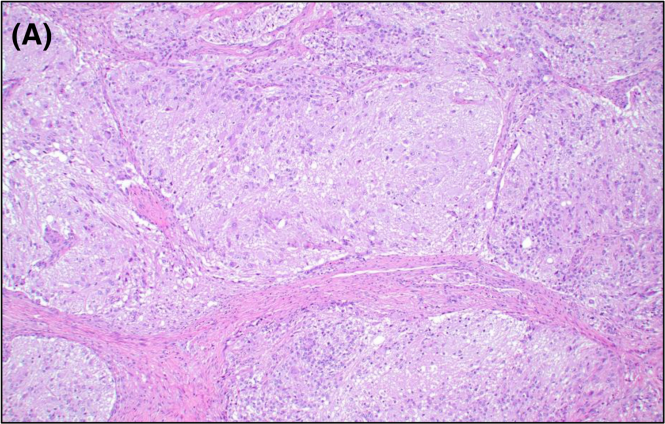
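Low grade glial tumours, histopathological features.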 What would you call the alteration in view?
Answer: Areas with variable cellularity.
